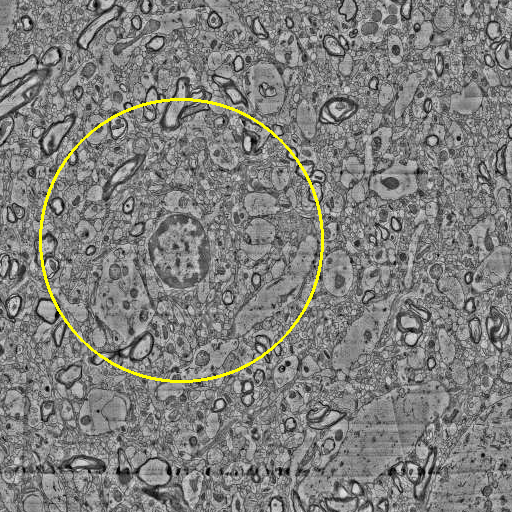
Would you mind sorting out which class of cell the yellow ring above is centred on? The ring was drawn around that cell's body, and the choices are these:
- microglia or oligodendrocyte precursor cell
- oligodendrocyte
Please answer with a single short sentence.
This is the cell body of a microglial cell or oligodendrocyte precursor cell.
